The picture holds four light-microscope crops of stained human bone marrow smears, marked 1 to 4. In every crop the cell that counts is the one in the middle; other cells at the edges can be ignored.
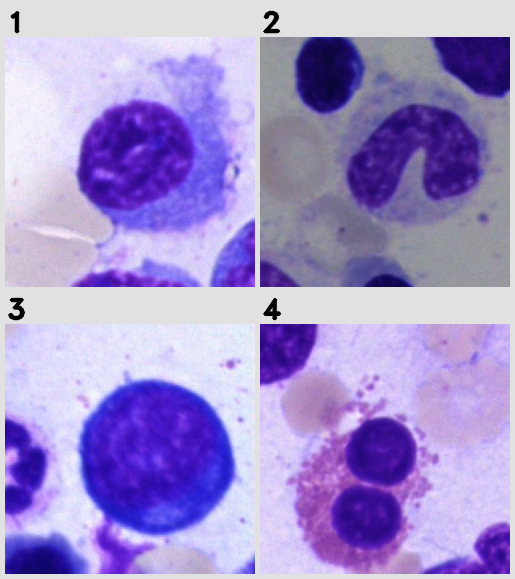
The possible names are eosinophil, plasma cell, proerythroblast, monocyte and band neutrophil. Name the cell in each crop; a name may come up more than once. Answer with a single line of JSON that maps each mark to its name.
{"1": "plasma cell", "2": "band neutrophil", "3": "proerythroblast", "4": "eosinophil"}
